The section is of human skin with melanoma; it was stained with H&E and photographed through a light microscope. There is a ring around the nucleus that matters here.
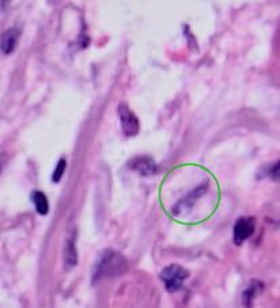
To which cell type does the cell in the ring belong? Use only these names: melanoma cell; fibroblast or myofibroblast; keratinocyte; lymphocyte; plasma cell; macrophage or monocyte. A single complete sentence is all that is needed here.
In this preparation, the cell in the ring is a fibroblast or myofibroblast.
